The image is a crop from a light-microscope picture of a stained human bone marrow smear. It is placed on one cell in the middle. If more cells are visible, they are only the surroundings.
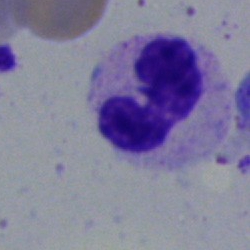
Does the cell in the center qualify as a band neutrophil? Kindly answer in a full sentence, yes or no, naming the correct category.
Yes, this is a band neutrophil, the cell in the middle of the crop.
